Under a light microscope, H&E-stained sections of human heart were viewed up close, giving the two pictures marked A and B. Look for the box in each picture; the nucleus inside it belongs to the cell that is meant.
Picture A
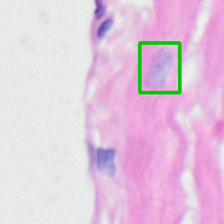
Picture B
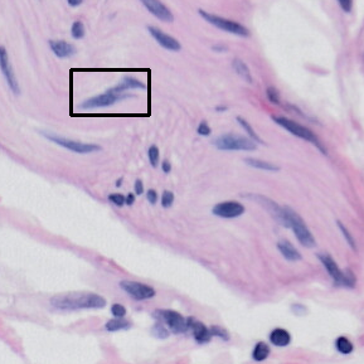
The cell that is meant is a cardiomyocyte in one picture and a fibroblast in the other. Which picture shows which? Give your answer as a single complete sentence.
Picture B shows a fibroblast, while picture A shows a cardiomyocyte.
